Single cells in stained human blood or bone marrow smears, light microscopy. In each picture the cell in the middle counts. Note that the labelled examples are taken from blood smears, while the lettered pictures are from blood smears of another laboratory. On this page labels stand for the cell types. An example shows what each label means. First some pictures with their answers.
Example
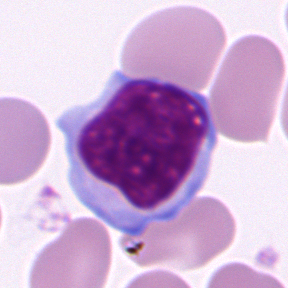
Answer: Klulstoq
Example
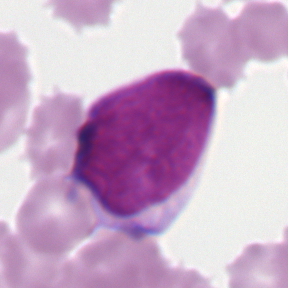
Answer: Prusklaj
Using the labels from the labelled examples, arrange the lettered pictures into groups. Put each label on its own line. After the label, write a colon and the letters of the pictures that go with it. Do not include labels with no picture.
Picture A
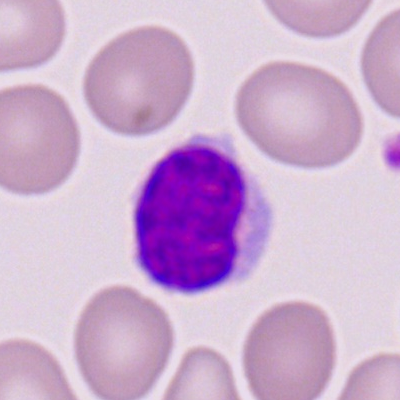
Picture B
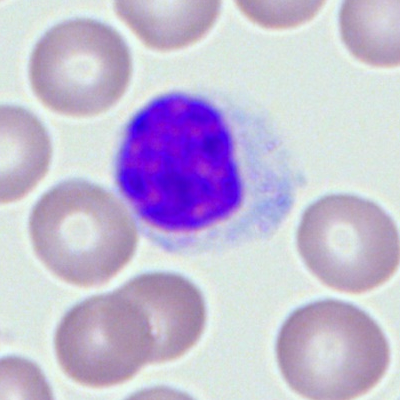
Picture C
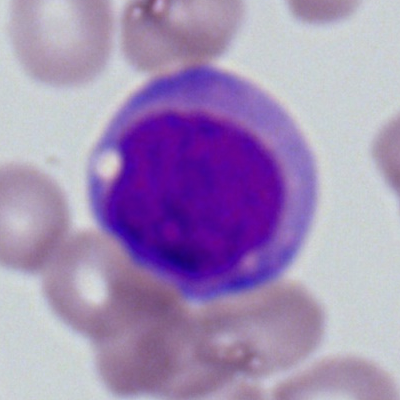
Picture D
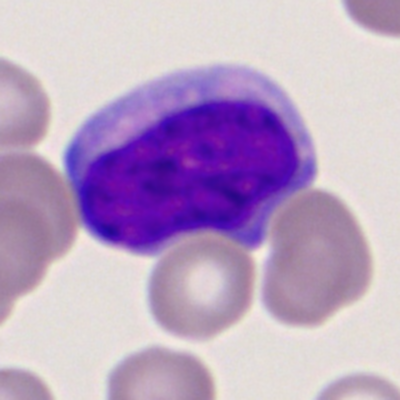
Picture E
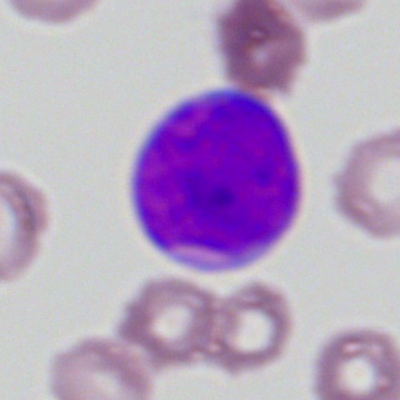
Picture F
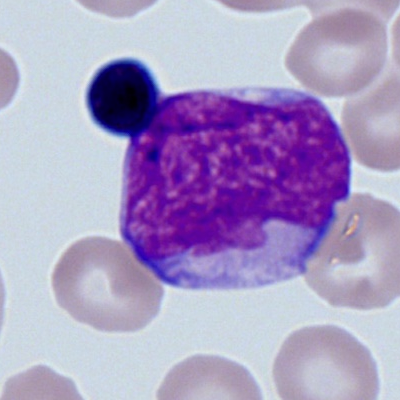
Klulstoq: A, B
Prusklaj: C, D, E, F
